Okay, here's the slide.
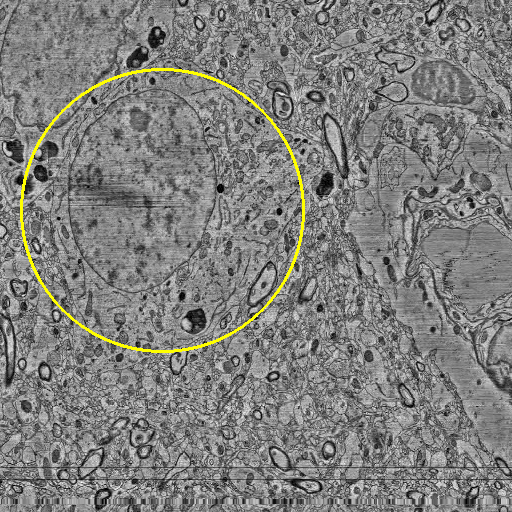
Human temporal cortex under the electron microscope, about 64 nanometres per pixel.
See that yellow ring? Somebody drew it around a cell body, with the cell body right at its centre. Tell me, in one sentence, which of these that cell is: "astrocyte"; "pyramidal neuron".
The cell in the middle of the ring is a pyramidal neuron.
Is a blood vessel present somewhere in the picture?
Yes.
